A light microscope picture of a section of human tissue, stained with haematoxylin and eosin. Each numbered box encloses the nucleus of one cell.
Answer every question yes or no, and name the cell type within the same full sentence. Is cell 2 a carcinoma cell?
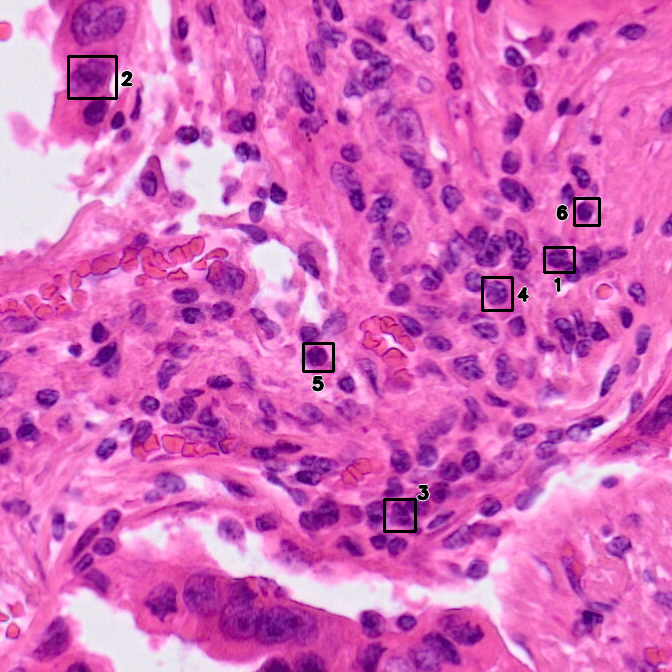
Yes, the cell with its nucleus marked 2 is a carcinoma cell.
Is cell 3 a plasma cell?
No, cell 3 does not count as a plasma cell; it is a lymphocyte.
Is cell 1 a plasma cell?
Yes, that is correct: the cell numbered 1 is a plasma cell.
